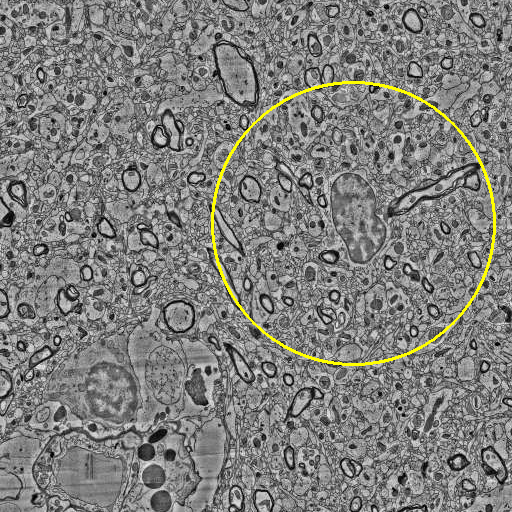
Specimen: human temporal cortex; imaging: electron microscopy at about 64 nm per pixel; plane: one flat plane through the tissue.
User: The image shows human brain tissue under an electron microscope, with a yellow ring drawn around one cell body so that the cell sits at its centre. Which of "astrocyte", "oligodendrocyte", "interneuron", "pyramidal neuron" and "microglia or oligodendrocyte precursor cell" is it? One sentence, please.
At the centre of the ring sits a microglial cell or oligodendrocyte precursor cell.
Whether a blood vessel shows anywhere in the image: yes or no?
Yes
